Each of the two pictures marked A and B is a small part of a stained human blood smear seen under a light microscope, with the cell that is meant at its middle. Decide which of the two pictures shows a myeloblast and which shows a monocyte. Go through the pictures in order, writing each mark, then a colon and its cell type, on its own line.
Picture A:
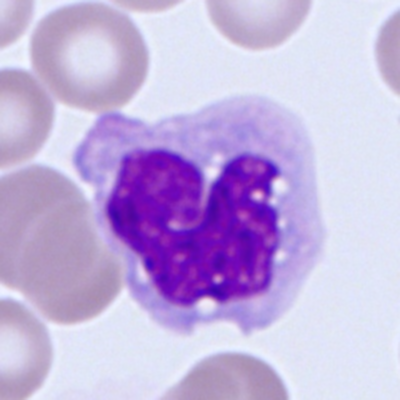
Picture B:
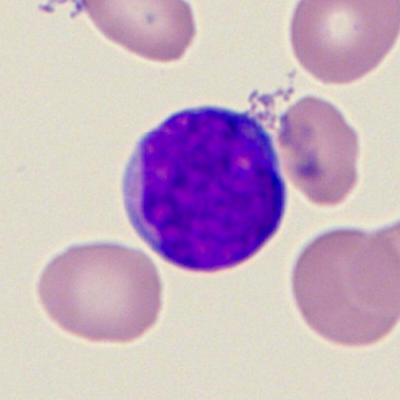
A: monocyte
B: myeloblast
